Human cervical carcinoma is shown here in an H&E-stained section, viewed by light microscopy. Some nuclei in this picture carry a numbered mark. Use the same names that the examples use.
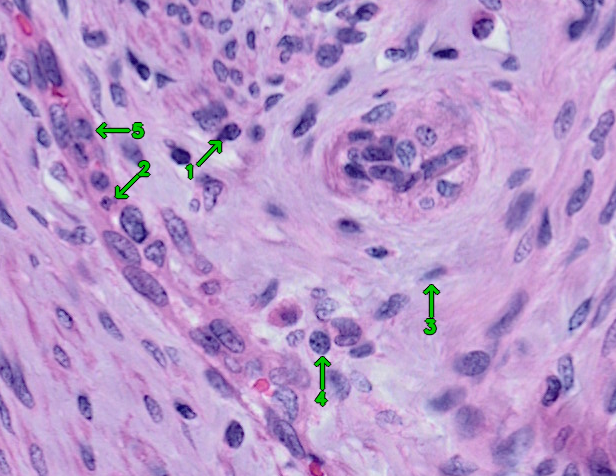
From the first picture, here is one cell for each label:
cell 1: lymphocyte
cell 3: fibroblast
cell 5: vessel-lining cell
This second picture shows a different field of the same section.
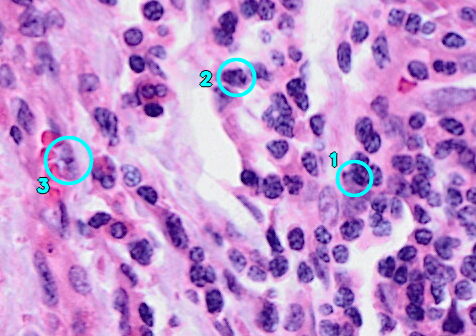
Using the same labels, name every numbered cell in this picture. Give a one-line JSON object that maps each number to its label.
{"1": "lymphocyte", "2": "lymphocyte", "3": "vessel-lining cell"}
